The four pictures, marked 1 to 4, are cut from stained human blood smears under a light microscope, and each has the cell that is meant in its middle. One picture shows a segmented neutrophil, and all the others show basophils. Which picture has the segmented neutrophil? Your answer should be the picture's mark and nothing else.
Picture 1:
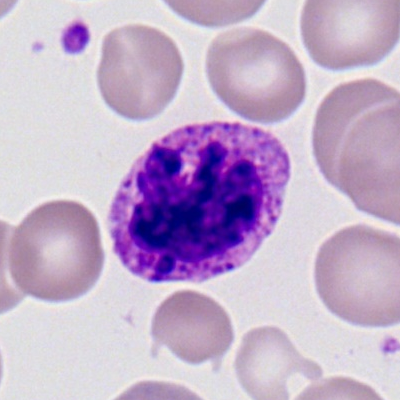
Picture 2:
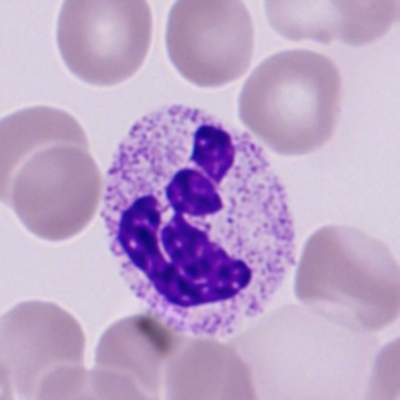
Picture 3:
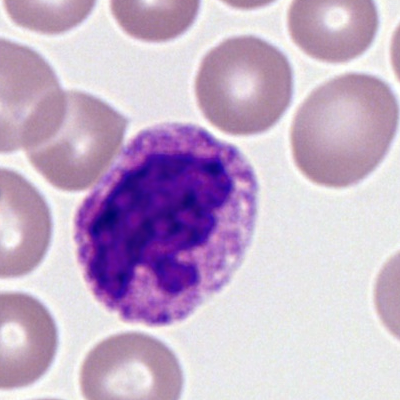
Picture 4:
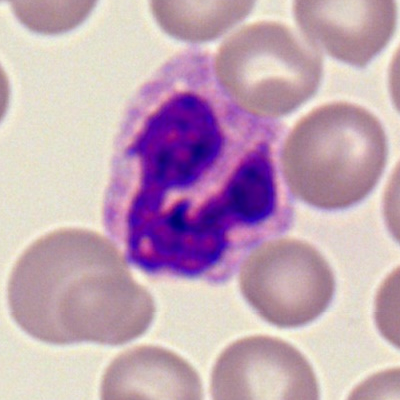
2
